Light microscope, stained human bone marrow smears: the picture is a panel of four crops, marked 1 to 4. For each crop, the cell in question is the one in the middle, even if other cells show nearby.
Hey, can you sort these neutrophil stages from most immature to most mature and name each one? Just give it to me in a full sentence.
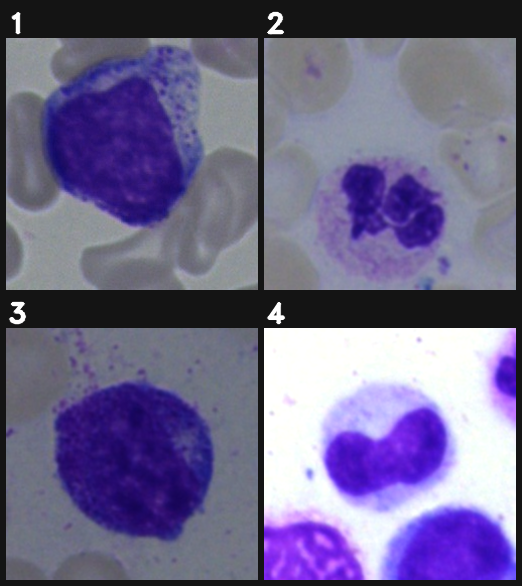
Placed in order of rising maturity, the crops stand as crop 3 (a promyelocyte), crop 1 (a myelocyte), crop 4 (a band neutrophil) and crop 2 (a segmented neutrophil).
